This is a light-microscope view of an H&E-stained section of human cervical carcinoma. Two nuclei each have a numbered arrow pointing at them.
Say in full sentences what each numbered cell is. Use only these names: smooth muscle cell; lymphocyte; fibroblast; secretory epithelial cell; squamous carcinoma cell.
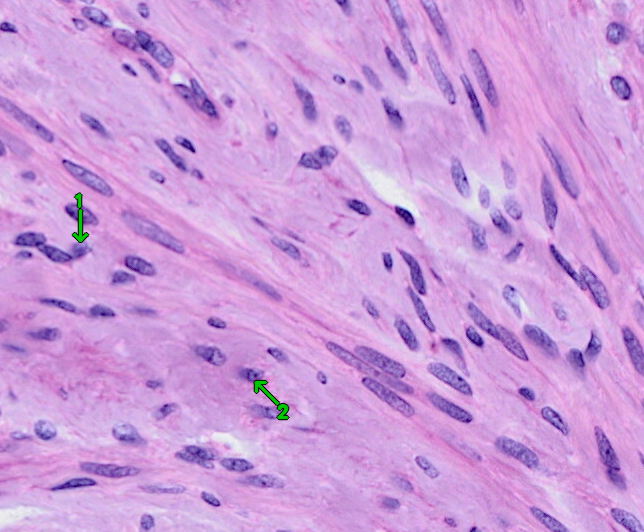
Cell 1 is a fibroblast. Cell 2 is a smooth muscle cell.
